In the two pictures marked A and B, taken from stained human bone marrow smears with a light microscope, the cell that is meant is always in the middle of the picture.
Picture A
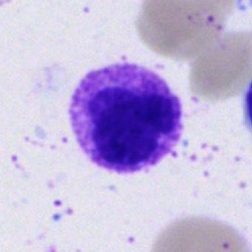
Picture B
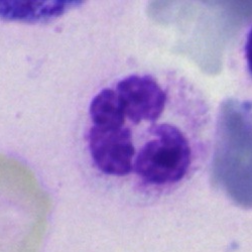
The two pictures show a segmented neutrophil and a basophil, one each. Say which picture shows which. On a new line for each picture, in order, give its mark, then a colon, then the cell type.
A: basophil
B: segmented neutrophil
